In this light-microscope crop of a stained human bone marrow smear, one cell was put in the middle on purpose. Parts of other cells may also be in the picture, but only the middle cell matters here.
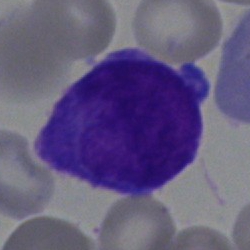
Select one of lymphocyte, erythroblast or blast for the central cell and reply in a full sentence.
The cell centred in this crop is categorized as a blast.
